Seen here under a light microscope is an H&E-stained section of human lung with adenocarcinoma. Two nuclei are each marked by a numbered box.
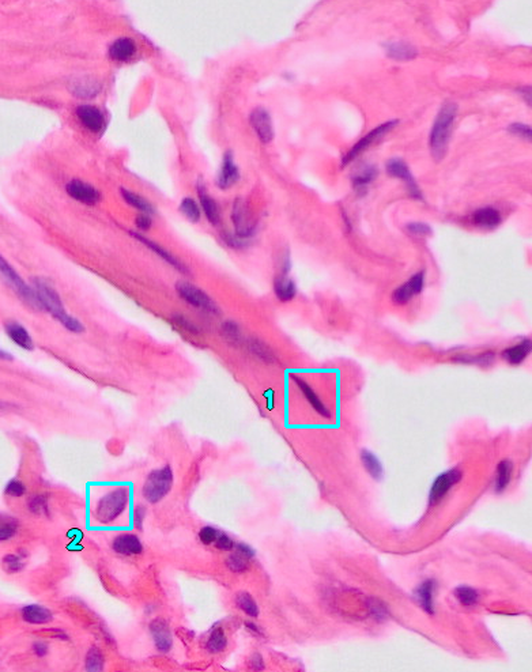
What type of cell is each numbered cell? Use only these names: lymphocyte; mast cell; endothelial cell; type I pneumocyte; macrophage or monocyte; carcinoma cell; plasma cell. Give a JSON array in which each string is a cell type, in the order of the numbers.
["endothelial cell", "type I pneumocyte"]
